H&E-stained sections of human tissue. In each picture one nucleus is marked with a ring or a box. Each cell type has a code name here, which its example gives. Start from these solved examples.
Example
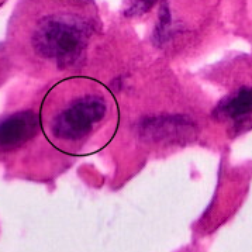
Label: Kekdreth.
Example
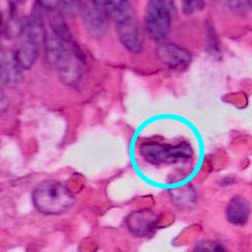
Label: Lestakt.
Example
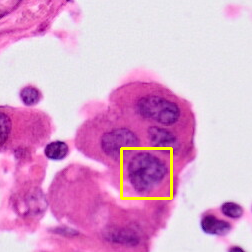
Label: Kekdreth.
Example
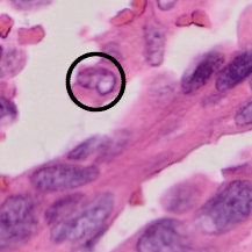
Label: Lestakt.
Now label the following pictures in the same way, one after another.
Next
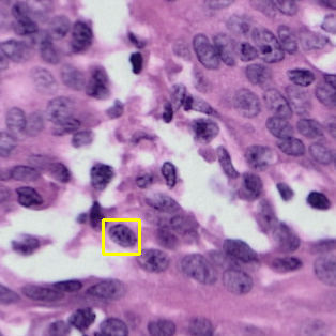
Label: Lestakt.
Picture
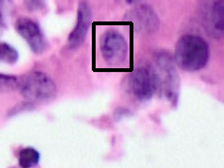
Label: Lestakt.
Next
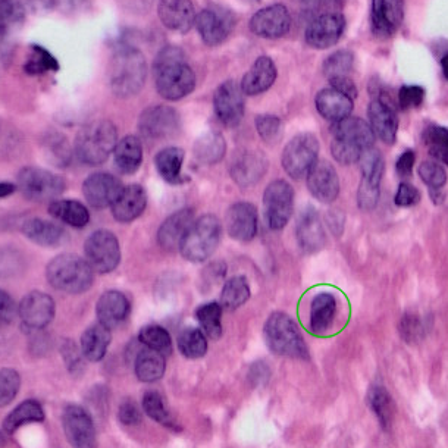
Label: Lestakt.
